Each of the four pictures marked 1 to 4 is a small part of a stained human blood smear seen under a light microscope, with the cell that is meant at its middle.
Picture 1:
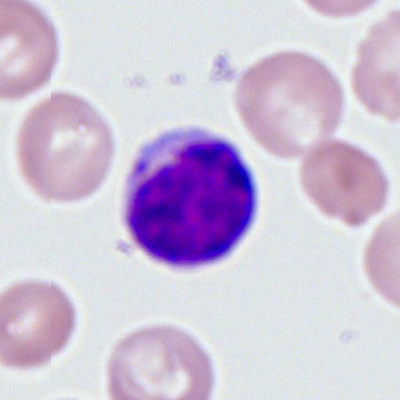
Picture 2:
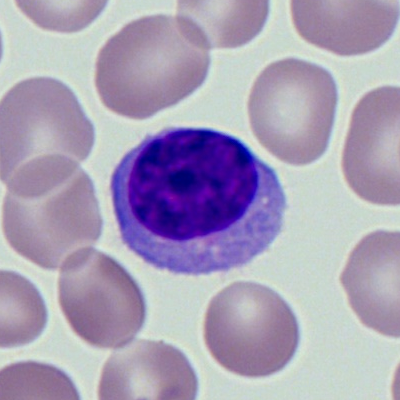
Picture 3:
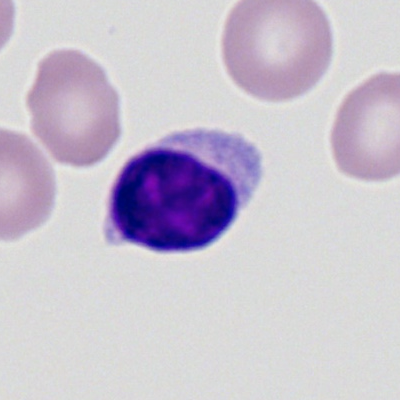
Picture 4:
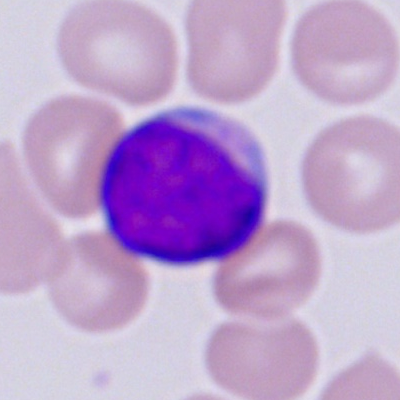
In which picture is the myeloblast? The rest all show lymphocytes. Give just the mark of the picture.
4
